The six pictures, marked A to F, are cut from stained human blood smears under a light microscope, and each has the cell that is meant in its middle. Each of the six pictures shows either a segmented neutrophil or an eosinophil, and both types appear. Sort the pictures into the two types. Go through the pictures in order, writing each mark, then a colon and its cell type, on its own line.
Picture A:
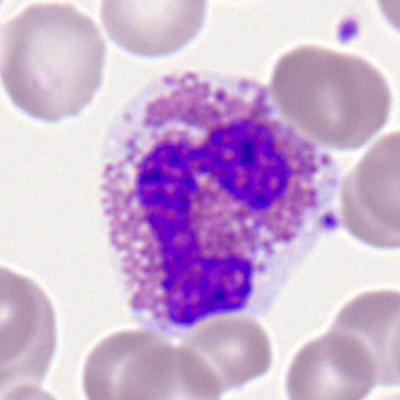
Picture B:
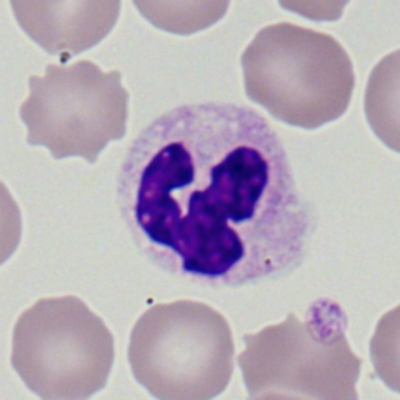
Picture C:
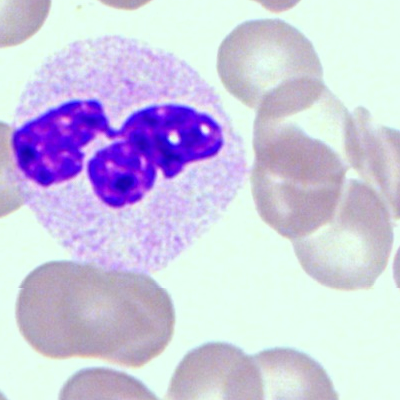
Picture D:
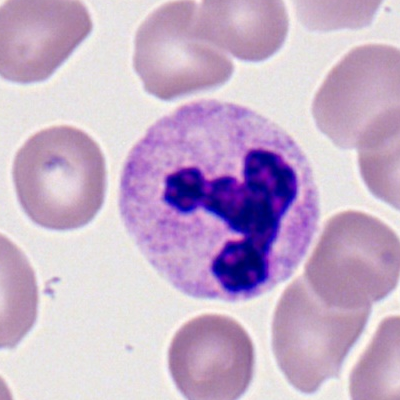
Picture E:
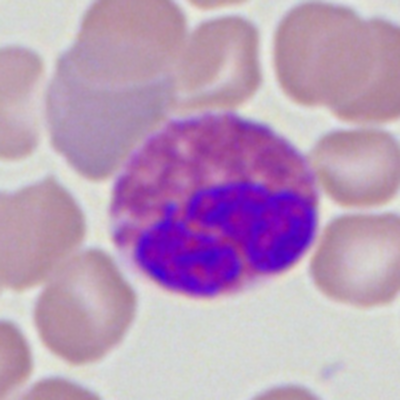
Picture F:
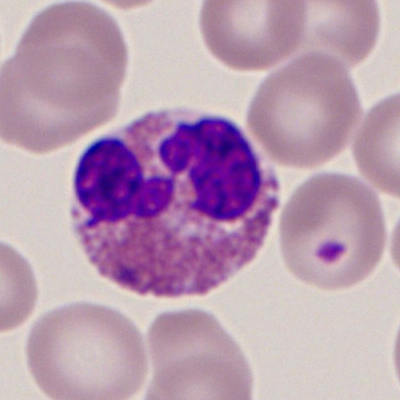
A: eosinophil
B: segmented neutrophil
C: segmented neutrophil
D: segmented neutrophil
E: eosinophil
F: eosinophil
